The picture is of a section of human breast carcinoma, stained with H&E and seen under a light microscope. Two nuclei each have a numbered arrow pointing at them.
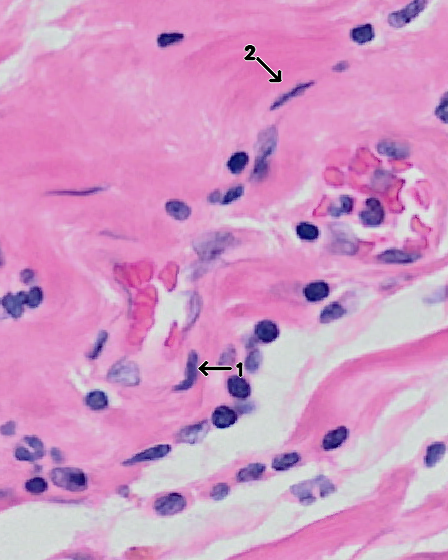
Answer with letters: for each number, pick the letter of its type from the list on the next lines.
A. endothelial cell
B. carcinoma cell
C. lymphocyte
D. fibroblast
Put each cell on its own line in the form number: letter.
1: A
2: D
